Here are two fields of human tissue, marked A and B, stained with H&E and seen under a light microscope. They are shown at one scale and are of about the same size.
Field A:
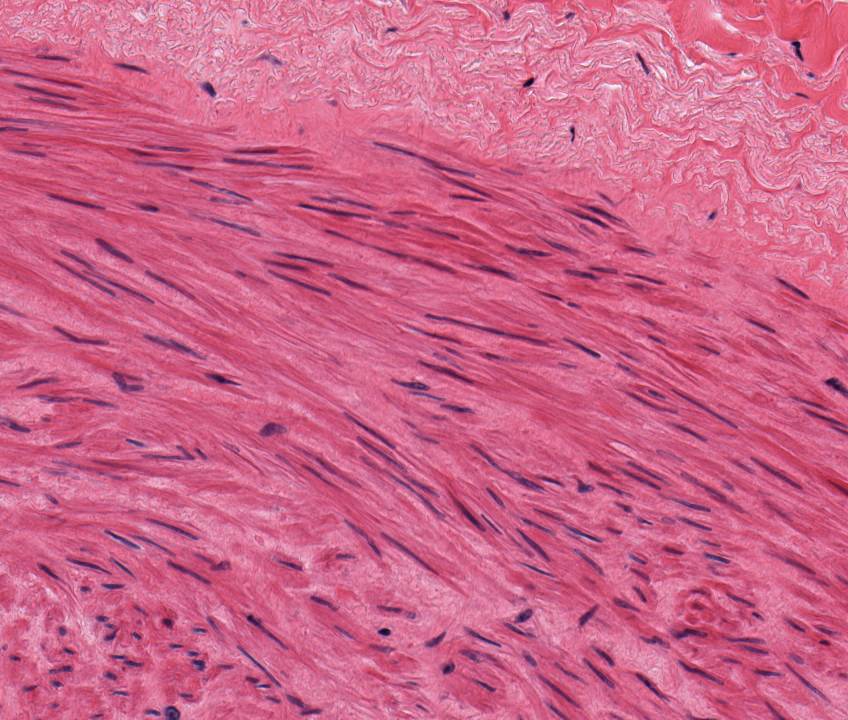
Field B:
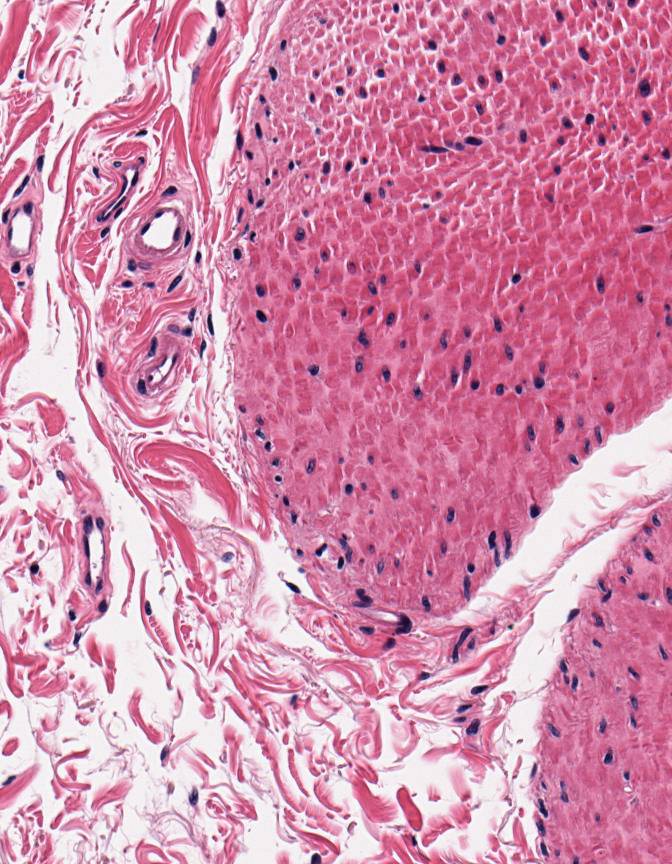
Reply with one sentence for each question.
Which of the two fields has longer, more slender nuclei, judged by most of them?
It is field A whose nuclei are the more elongated.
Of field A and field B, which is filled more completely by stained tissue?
It is field A that stained tissue fills more completely.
